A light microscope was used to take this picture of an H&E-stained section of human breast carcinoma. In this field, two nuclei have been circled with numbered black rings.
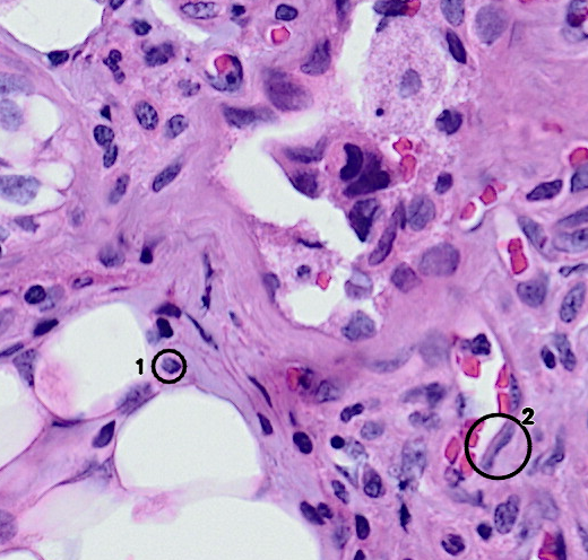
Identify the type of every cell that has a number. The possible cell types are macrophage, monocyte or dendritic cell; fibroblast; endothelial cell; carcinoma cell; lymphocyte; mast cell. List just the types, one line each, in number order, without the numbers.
mast cell
endothelial cell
